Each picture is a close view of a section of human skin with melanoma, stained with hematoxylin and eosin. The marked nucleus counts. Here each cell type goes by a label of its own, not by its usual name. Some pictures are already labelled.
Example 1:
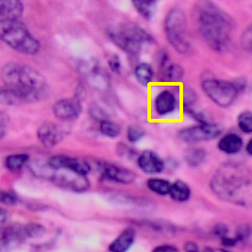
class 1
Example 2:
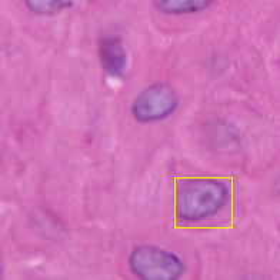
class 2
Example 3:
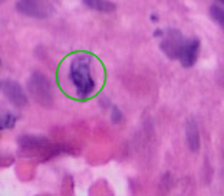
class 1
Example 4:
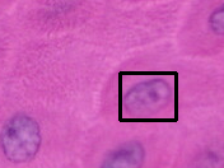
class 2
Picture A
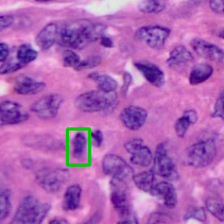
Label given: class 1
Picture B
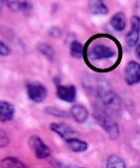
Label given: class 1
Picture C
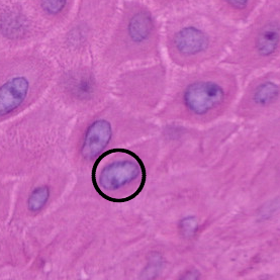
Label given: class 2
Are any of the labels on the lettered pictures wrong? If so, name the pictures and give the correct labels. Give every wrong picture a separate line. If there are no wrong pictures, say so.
Nothing to fix; every label fits.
